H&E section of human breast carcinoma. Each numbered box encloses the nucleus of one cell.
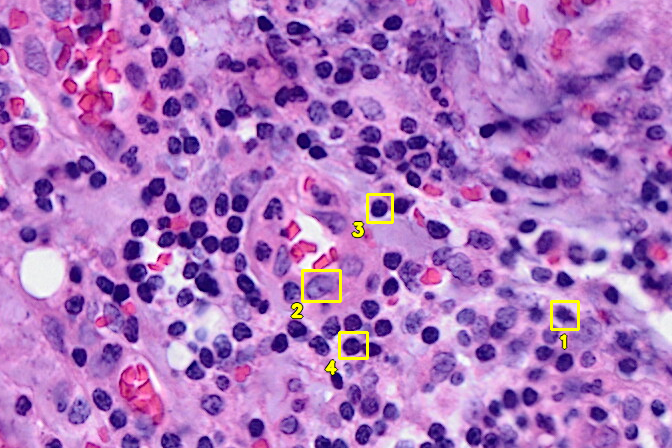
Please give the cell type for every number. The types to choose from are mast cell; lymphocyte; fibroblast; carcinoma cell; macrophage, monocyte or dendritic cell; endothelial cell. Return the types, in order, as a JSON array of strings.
["lymphocyte", "endothelial cell", "lymphocyte", "lymphocyte"]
